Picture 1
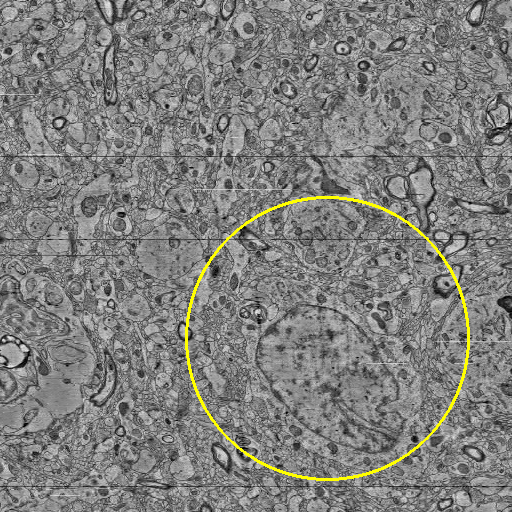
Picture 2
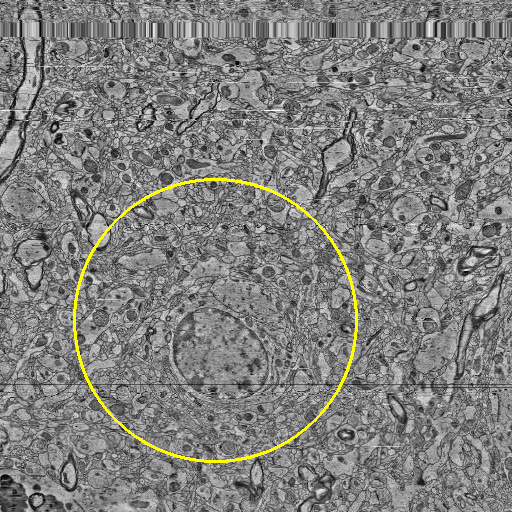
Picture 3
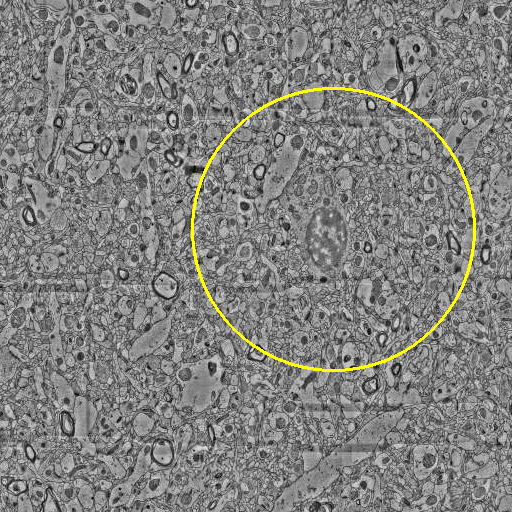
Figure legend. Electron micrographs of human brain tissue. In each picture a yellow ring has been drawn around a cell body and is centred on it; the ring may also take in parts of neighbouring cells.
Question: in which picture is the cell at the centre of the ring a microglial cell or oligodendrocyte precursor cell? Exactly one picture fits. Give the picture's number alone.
2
